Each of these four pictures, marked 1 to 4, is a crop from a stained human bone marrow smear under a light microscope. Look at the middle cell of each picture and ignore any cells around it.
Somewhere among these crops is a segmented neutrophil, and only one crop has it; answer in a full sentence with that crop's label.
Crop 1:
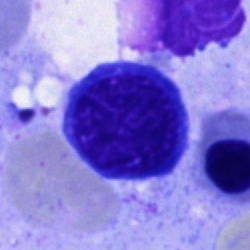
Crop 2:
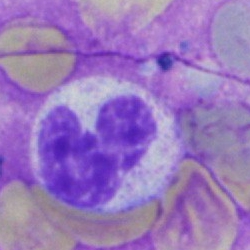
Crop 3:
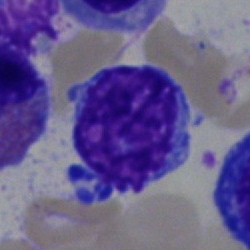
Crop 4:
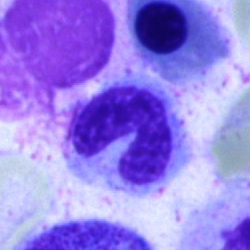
It is in crop 2 that a segmented neutrophil is shown.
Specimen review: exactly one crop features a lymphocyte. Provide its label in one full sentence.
Crop 3 is the one to choose: it shows a lymphocyte.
